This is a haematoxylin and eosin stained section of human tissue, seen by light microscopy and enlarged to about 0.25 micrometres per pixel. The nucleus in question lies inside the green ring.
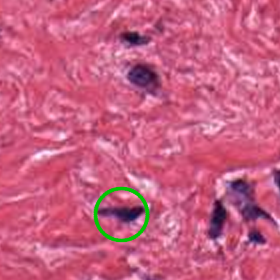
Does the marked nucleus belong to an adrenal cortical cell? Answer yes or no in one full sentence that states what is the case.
No, the marked nucleus is the nucleus of a supporting cell rather than of an adrenal cortical cell.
